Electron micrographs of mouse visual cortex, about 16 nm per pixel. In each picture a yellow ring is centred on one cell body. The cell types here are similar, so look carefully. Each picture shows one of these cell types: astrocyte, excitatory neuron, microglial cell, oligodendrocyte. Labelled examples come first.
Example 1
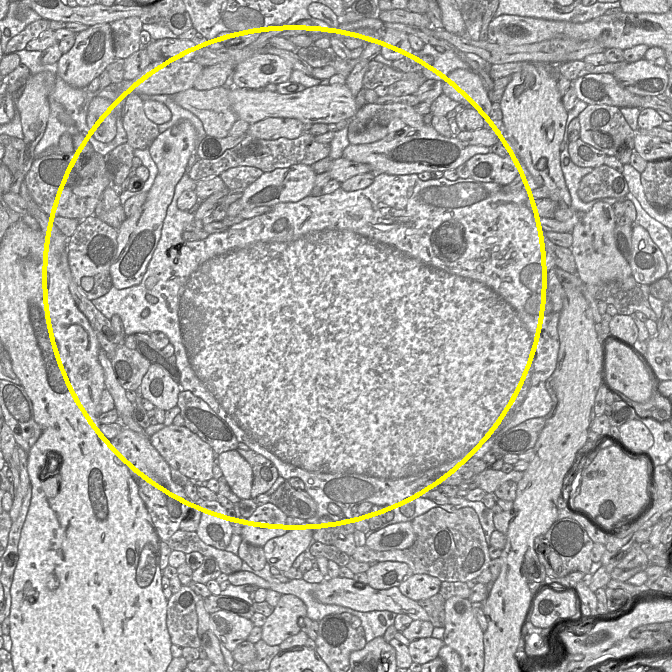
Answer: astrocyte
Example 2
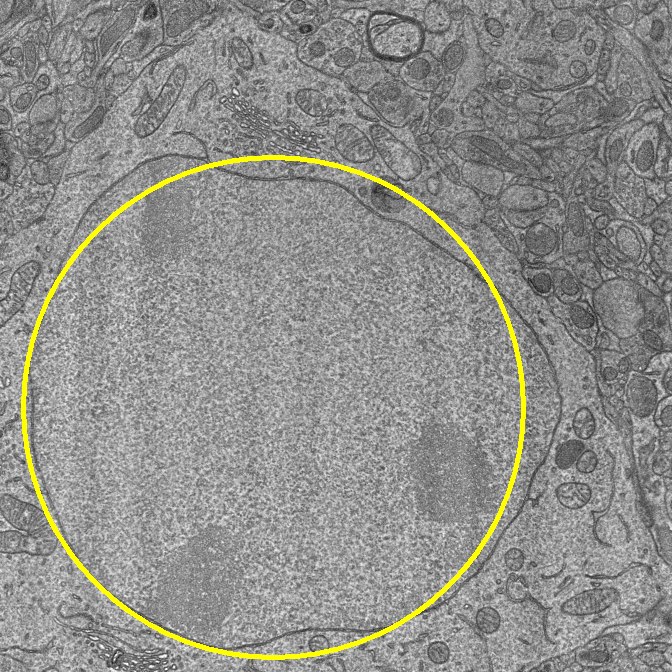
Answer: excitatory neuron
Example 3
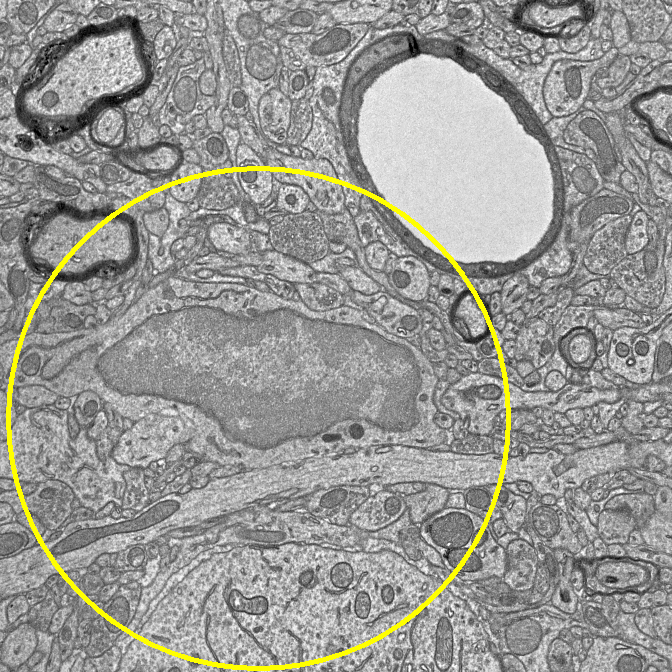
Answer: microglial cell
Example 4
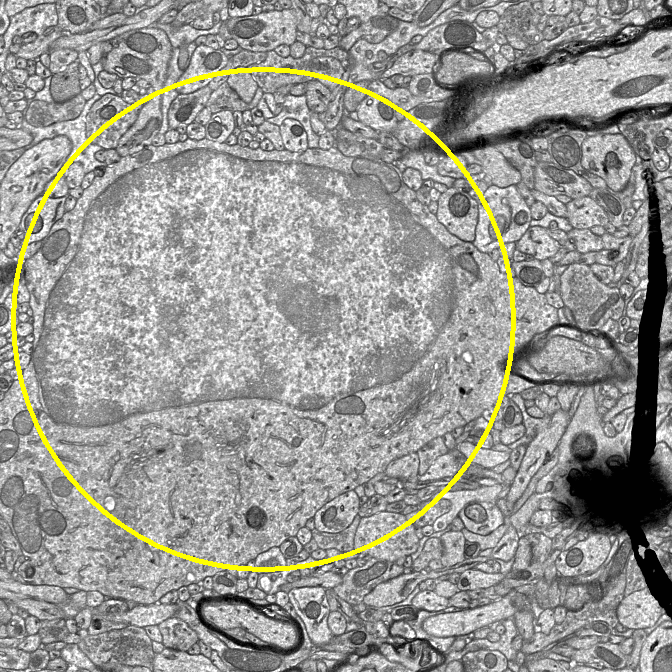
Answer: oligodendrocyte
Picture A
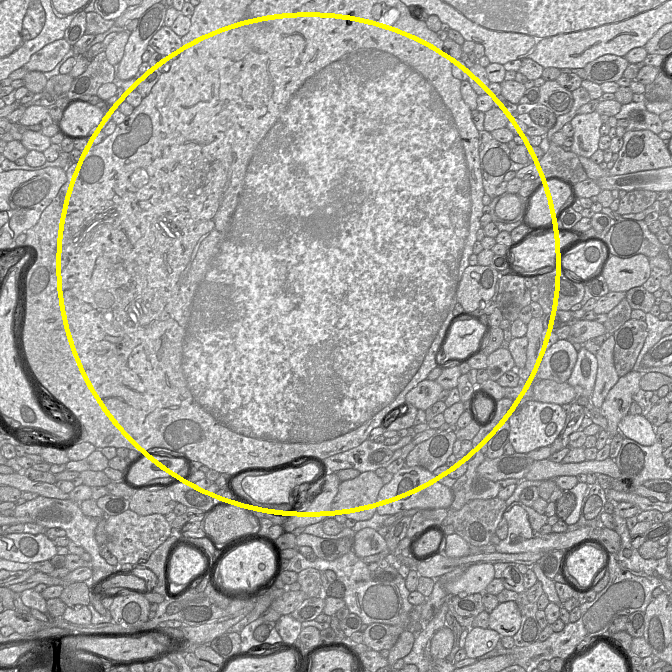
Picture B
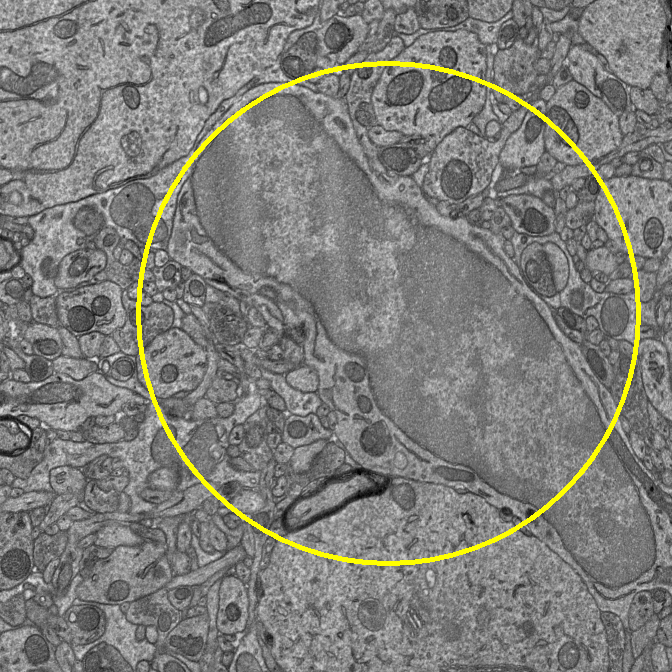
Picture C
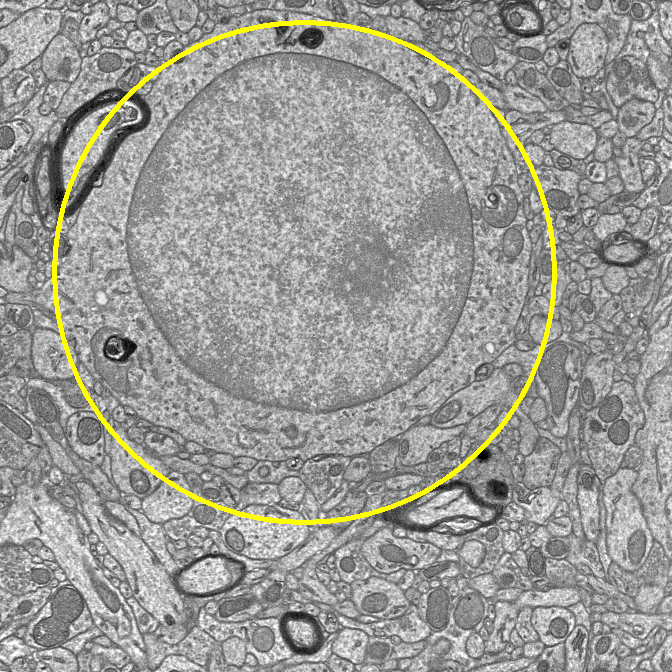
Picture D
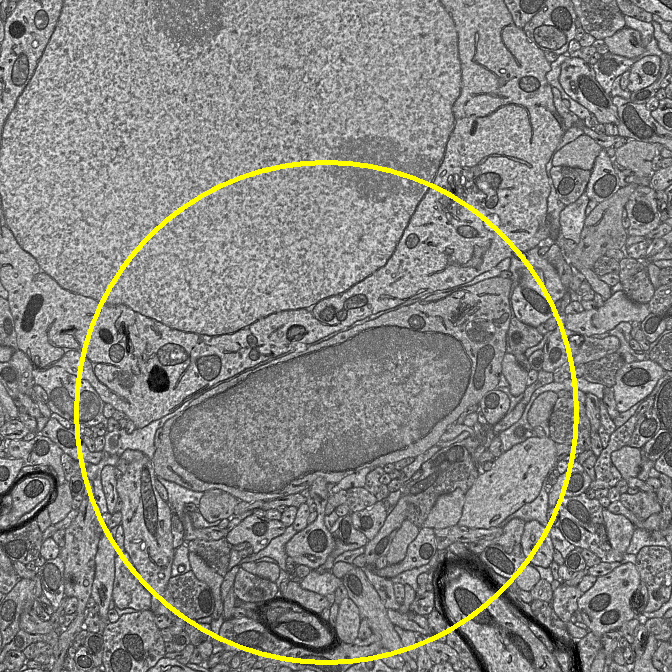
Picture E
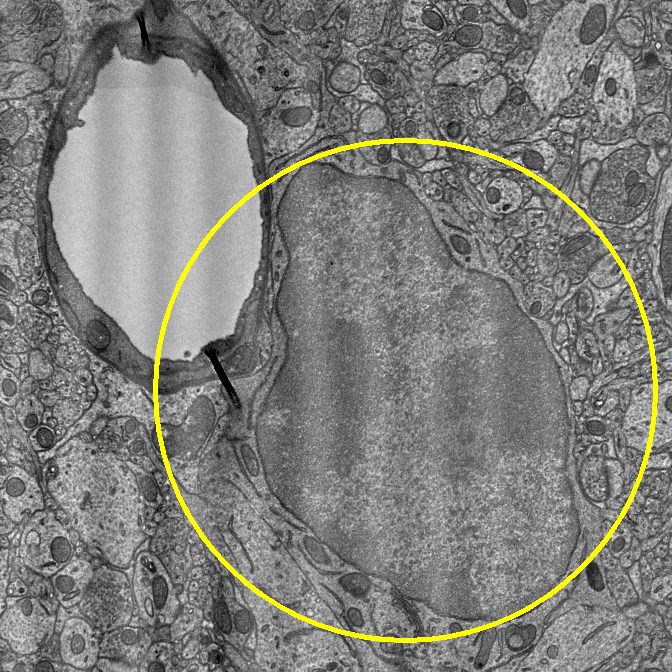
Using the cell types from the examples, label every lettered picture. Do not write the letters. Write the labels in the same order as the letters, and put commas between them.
oligodendrocyte, microglial cell, oligodendrocyte, microglial cell, microglial cell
